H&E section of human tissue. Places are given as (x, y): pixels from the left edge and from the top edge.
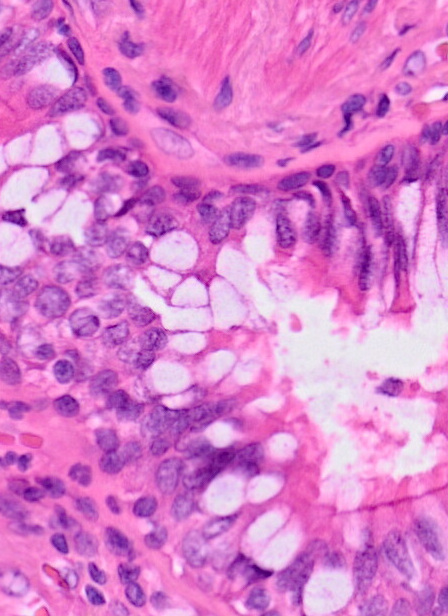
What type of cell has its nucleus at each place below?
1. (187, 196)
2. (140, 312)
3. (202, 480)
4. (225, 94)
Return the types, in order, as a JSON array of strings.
["ciliated epithelial cell", "ciliated epithelial cell", "ciliated epithelial cell", "smooth muscle cell or pericyte"]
